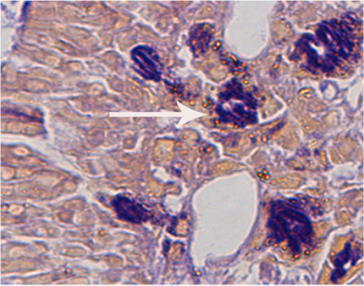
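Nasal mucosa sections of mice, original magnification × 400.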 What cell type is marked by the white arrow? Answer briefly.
Mast cells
